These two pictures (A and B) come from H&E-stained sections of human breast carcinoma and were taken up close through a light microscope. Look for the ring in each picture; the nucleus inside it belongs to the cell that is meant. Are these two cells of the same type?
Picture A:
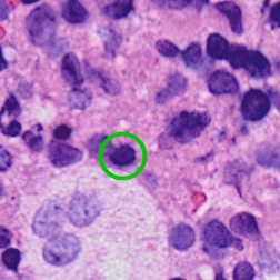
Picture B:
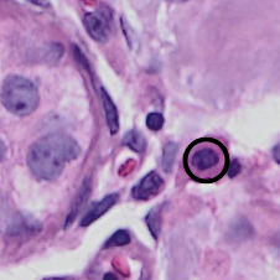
no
